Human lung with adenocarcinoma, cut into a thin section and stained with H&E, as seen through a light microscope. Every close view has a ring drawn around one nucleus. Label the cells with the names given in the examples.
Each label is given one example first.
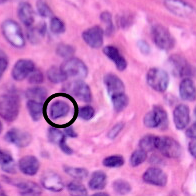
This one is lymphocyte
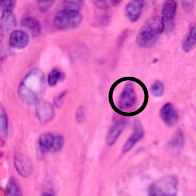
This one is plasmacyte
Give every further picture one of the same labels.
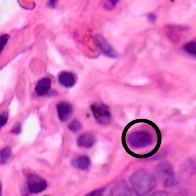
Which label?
plasmacyte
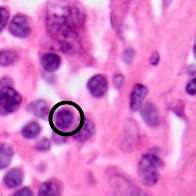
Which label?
lymphocyte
